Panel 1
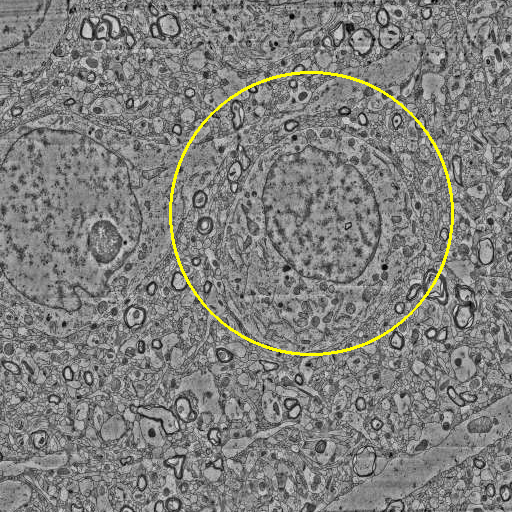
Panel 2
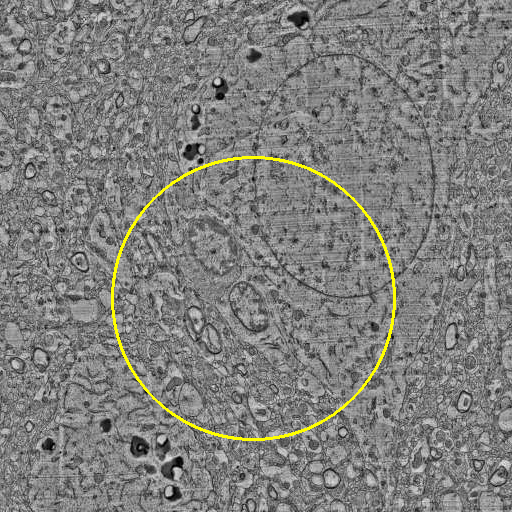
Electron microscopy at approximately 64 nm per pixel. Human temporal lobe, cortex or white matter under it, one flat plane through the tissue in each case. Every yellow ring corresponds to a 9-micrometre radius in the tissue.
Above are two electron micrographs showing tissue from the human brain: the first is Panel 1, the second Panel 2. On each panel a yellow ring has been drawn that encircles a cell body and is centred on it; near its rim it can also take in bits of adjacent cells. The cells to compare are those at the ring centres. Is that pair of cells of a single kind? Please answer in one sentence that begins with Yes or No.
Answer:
No, the ring-centred cells of Panel 1 and Panel 2 belong to two kinds.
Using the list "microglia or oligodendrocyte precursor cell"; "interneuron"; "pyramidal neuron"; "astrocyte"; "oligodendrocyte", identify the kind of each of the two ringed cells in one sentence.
The first is an interneuron and the second is a microglial cell or oligodendrocyte precursor cell.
